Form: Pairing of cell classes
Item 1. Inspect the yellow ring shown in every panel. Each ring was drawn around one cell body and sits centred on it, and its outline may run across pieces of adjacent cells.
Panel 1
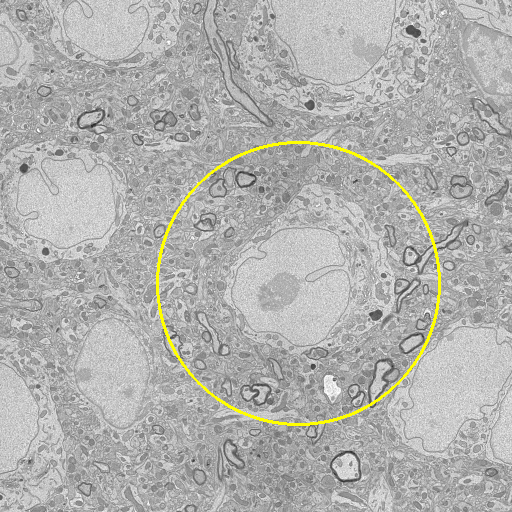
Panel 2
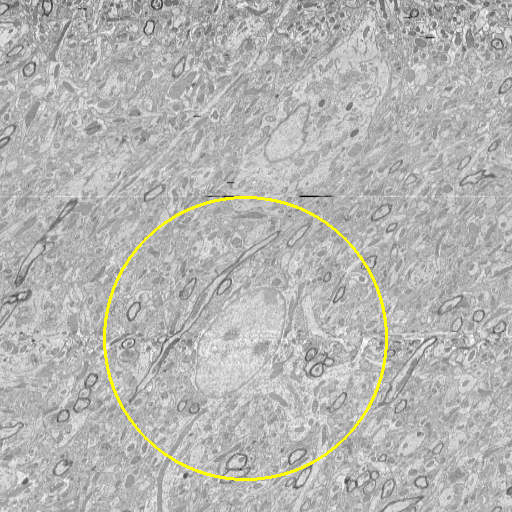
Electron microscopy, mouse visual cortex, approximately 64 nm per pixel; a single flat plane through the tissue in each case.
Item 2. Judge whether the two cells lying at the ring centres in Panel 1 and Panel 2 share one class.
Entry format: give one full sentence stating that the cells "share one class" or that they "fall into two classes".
The cells at the ring centres in Panel 1 and Panel 2 fall into two classes.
